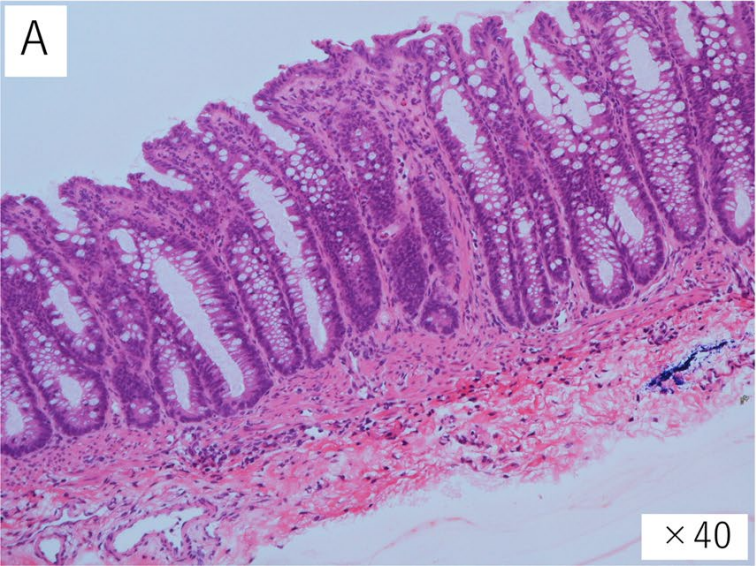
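Large-bowel mucosa with straight, parallel, tubular crypts lined by columnar epithelium rich in pale goblet cells, set in a cellular lamina propria. Below the crypt bases lies a thin band of muscle and then loose pink fibrous submucosa with scattered small spindle and round nuclei and a few small vessels; no large cells with abundant cytoplasm are seen there. A small dark blue-black deposit lies in the submucosa at the right.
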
